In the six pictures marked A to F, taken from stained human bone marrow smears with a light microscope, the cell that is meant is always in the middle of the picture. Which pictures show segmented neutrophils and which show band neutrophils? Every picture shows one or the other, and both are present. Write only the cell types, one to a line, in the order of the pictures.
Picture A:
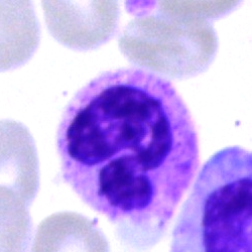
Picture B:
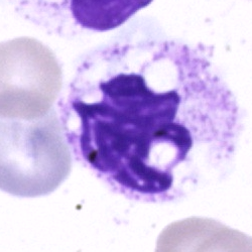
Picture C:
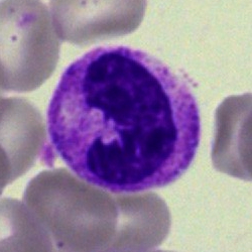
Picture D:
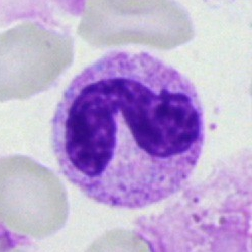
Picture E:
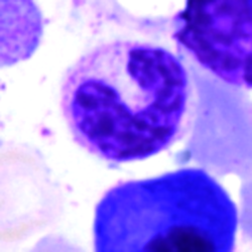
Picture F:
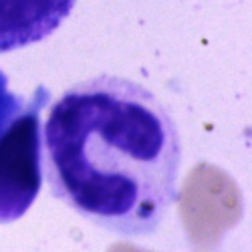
segmented neutrophil
segmented neutrophil
band neutrophil
band neutrophil
band neutrophil
band neutrophil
